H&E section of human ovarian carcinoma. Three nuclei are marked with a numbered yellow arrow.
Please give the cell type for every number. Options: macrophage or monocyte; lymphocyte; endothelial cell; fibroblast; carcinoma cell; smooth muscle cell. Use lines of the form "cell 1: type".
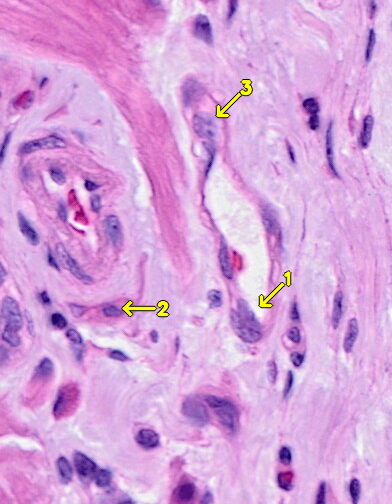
cell 1: endothelial cell
cell 2: smooth muscle cell
cell 3: endothelial cell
